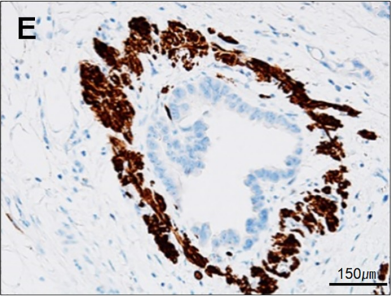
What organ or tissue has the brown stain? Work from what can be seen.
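Smooth muscle layer. The brown ring lies outside the lining epithelium, which is unstained blue.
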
